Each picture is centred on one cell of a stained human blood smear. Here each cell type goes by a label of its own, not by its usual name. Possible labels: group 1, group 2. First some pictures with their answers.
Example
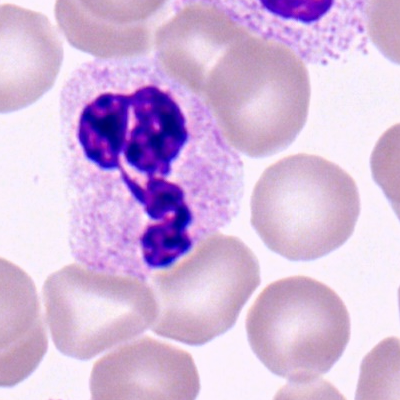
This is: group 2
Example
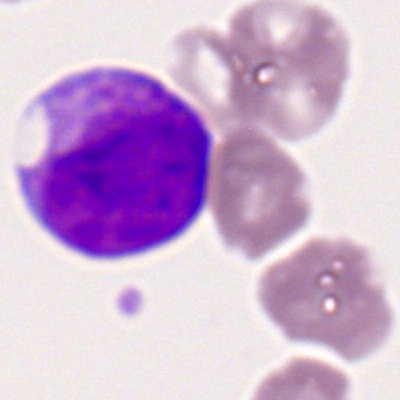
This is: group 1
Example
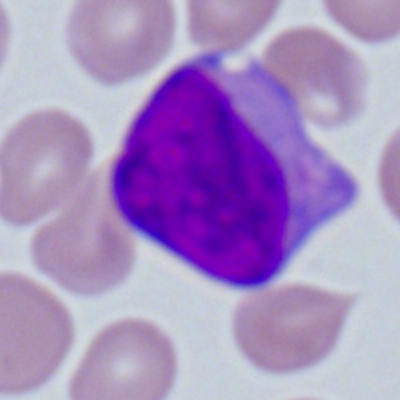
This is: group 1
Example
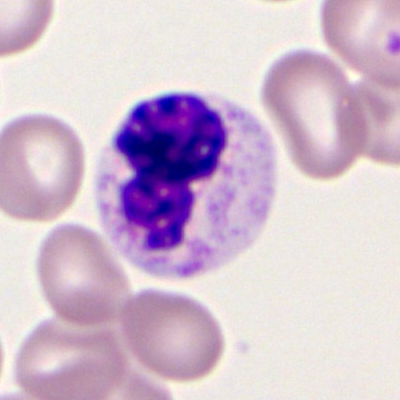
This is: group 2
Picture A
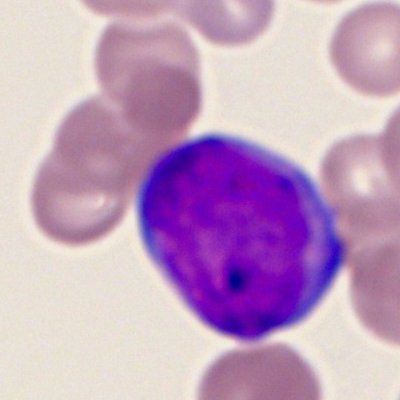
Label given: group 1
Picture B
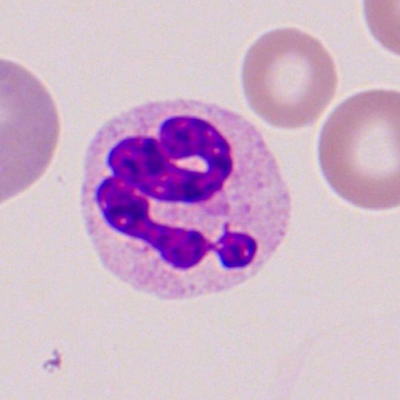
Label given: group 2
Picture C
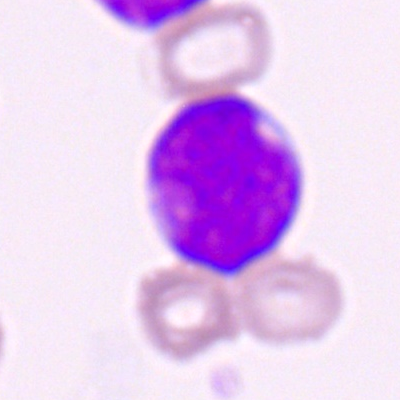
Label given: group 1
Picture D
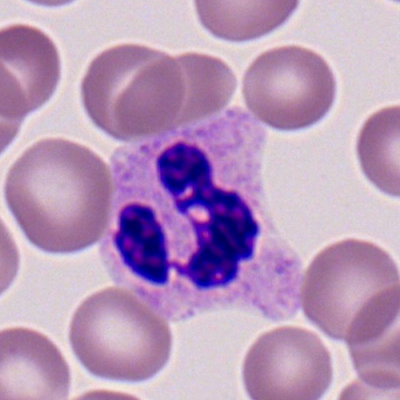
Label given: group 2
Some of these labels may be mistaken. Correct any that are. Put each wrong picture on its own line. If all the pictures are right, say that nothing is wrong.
Every label is right.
